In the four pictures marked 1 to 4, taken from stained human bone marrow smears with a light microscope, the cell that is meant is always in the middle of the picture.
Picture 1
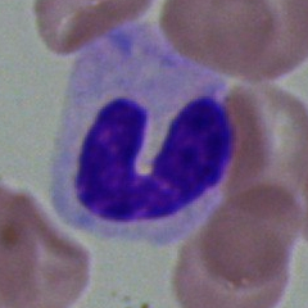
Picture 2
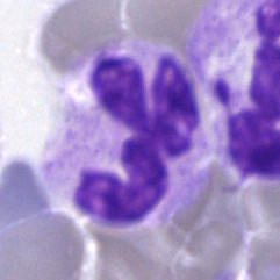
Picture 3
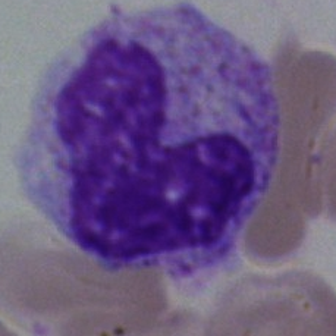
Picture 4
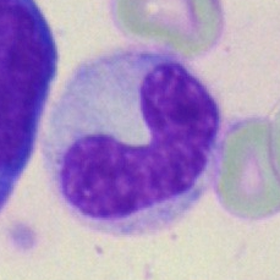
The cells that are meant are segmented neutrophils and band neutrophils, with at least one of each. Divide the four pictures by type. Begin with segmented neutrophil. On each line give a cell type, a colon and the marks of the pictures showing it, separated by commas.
segmented neutrophil: 2
band neutrophil: 1, 3, 4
